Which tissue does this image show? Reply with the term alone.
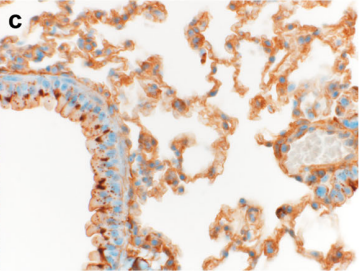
lung tissue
